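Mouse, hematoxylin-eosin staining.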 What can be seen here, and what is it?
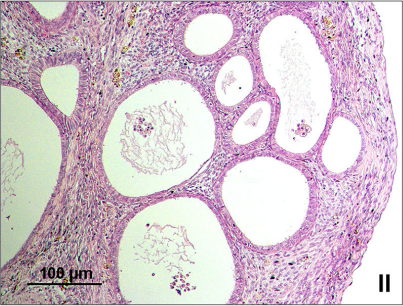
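This is endometriotic tissue, showing many cystic glands of different sizes embedded in a dense stroma. The lumina are mostly empty and pale, some holding wisps of pink material and a few loose cells. The stroma between the glands is crowded with spindle-shaped cells with elongated nuclei. The glands and stroma together resemble endometrium lying outside the uterus.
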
